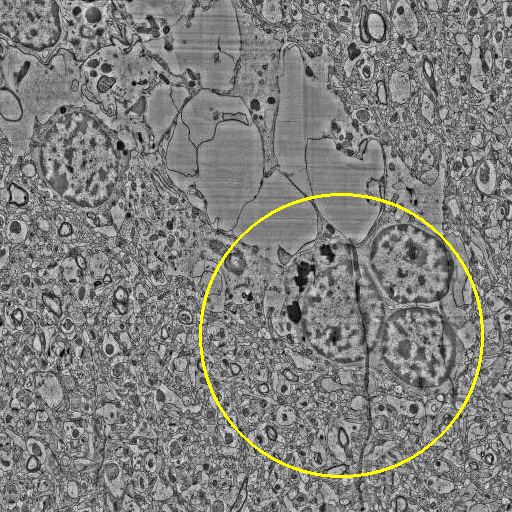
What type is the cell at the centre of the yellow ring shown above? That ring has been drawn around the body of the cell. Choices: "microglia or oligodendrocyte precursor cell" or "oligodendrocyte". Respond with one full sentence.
My answer is that an oligodendrocyte lies at the centre of the yellow ring above.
